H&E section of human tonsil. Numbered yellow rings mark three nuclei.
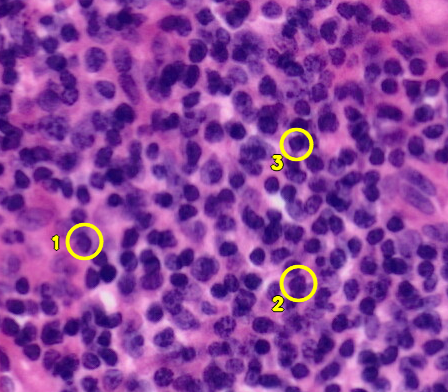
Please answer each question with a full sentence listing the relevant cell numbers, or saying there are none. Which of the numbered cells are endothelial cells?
It is only cell 1 that is an endothelial cell among the numbered cells.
